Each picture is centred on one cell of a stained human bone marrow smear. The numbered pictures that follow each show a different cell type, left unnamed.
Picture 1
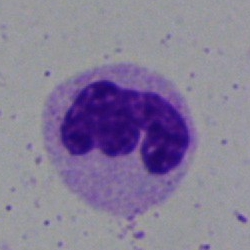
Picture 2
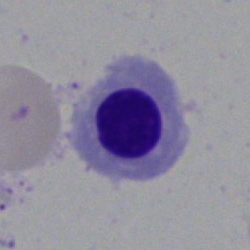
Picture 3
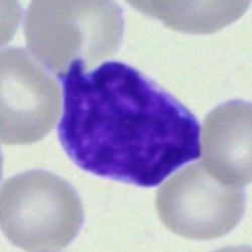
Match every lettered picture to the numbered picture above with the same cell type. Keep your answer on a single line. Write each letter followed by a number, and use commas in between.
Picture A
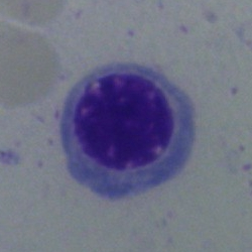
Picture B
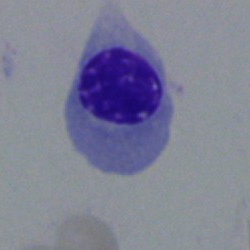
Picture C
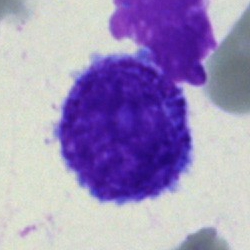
A 2, B 2, C 3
